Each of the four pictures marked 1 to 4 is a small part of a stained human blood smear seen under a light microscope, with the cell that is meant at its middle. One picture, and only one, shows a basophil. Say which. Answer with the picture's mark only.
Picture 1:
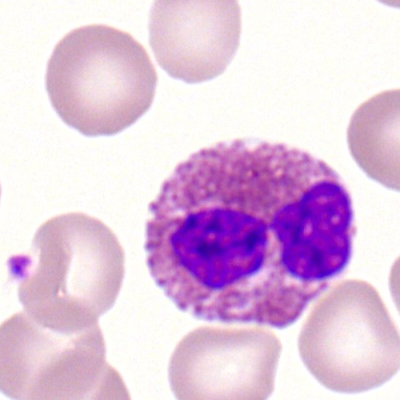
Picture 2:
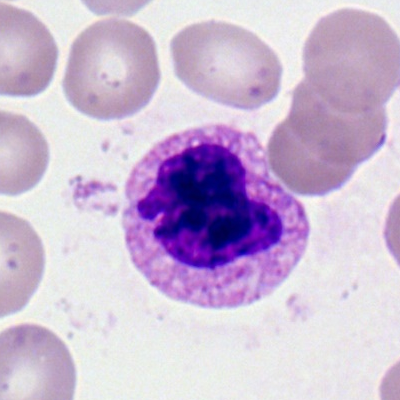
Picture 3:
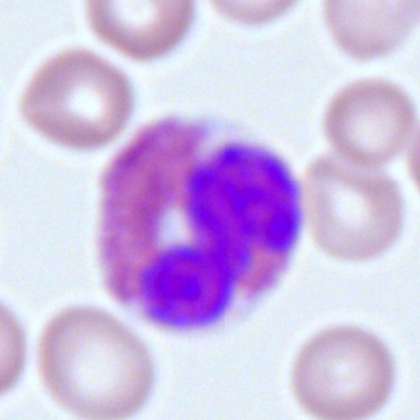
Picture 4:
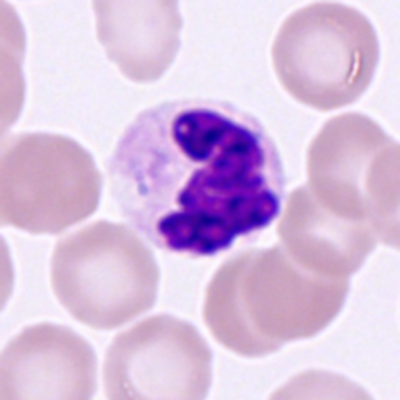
2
